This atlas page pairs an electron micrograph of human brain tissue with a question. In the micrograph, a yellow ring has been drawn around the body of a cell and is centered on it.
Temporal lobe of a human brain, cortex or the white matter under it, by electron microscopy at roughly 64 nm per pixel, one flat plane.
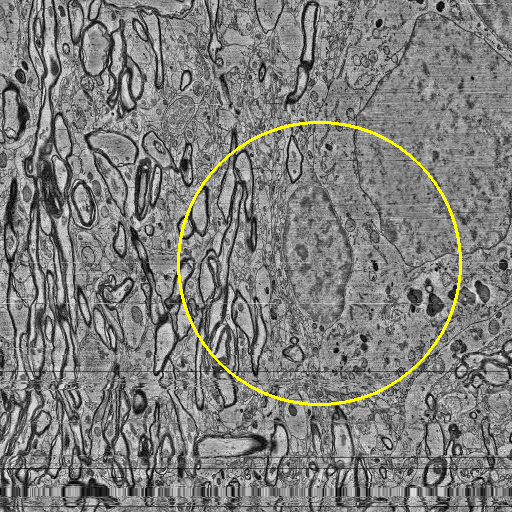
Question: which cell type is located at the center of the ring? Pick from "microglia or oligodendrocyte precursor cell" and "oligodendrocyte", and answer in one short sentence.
Located at the center of the ring is an oligodendrocyte.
